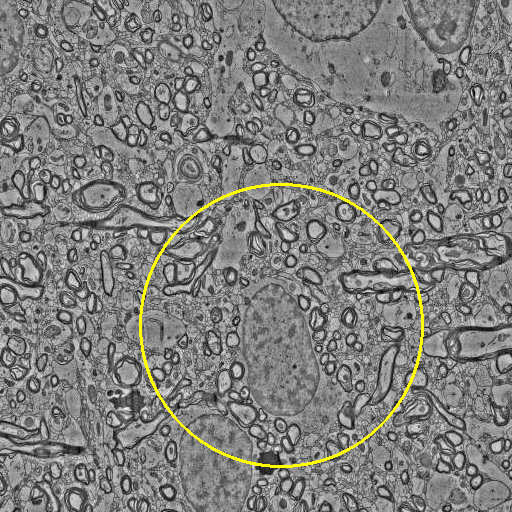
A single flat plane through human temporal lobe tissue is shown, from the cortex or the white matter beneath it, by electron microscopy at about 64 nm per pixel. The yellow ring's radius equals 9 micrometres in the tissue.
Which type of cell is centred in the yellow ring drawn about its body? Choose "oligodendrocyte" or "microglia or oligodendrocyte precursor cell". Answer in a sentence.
The yellow ring surrounds the cell body of an oligodendrocyte.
